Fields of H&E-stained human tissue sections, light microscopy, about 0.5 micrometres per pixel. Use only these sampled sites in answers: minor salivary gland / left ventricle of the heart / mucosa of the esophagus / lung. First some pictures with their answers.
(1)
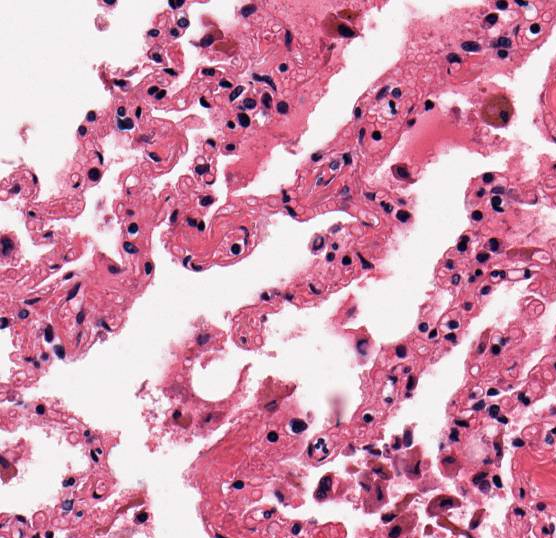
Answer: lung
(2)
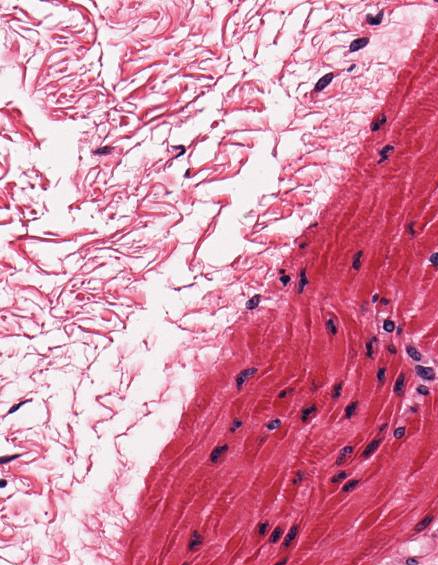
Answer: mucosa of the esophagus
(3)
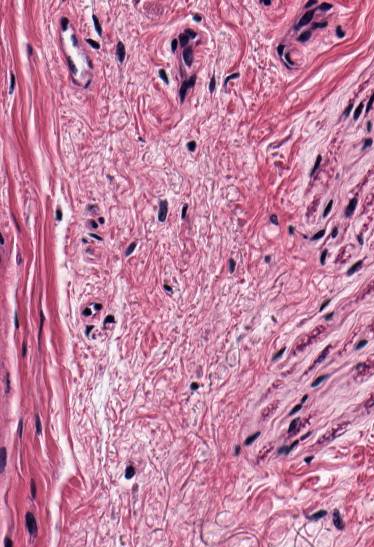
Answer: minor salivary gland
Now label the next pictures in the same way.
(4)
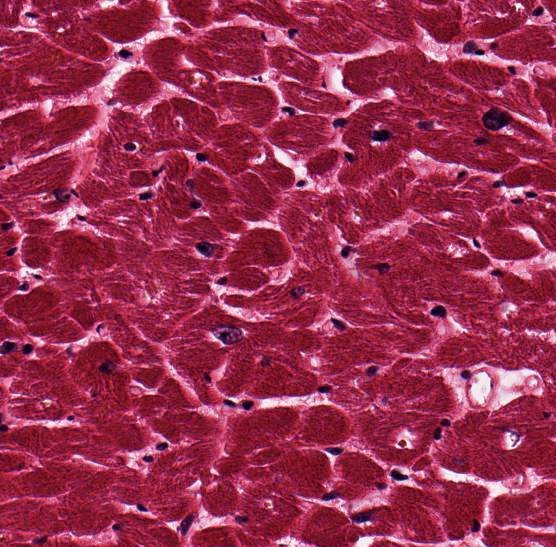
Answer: left ventricle of the heart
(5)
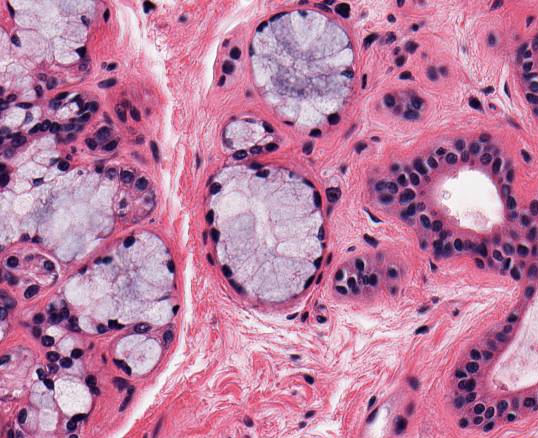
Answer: minor salivary gland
